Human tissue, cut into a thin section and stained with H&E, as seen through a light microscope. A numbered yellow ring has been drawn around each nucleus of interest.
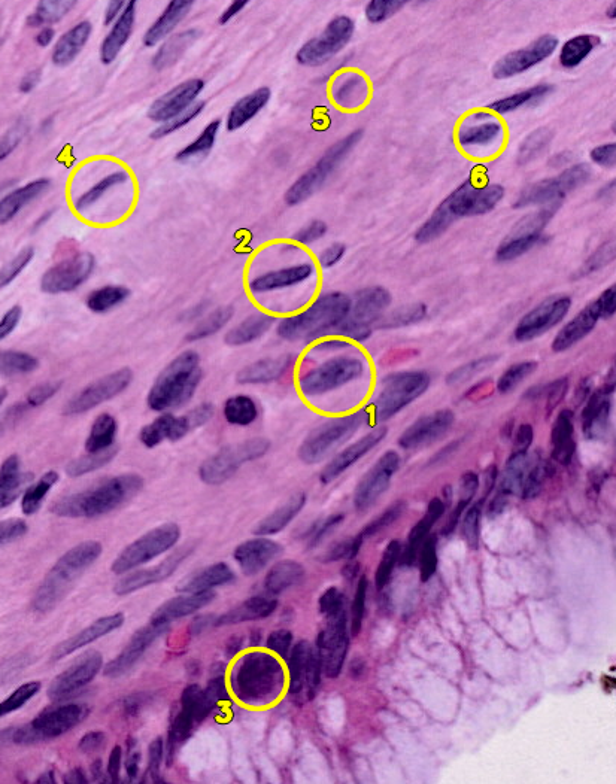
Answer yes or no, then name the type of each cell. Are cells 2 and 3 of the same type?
No, mate, cell 2 is a fibroblast and cell 3 is a secretory epithelial cell.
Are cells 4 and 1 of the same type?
No, cell 4 is a fibroblast; as for cell 1, that one is an endothelial cell.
